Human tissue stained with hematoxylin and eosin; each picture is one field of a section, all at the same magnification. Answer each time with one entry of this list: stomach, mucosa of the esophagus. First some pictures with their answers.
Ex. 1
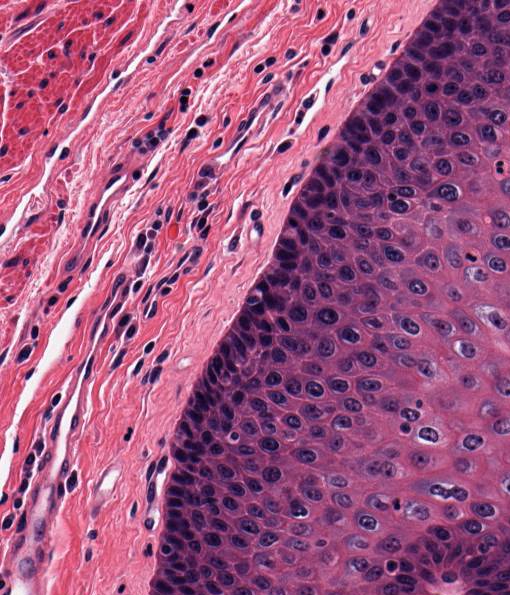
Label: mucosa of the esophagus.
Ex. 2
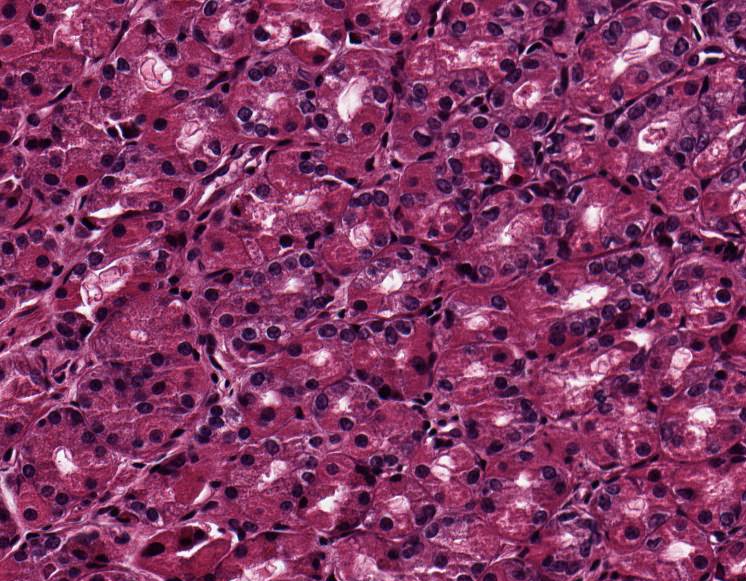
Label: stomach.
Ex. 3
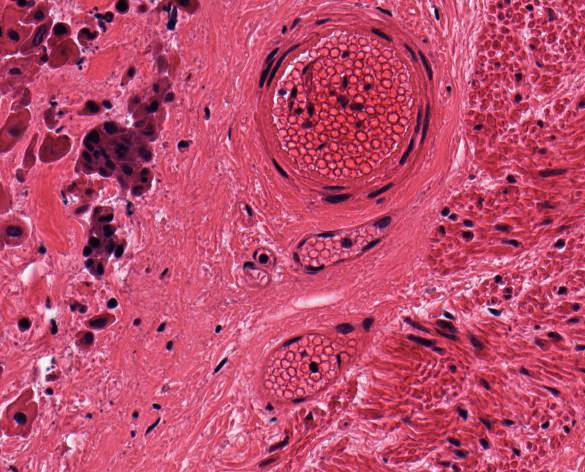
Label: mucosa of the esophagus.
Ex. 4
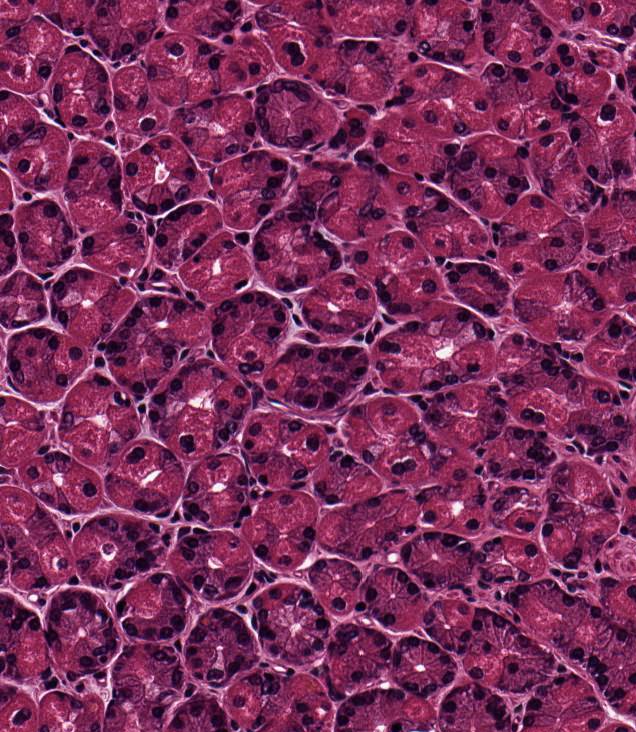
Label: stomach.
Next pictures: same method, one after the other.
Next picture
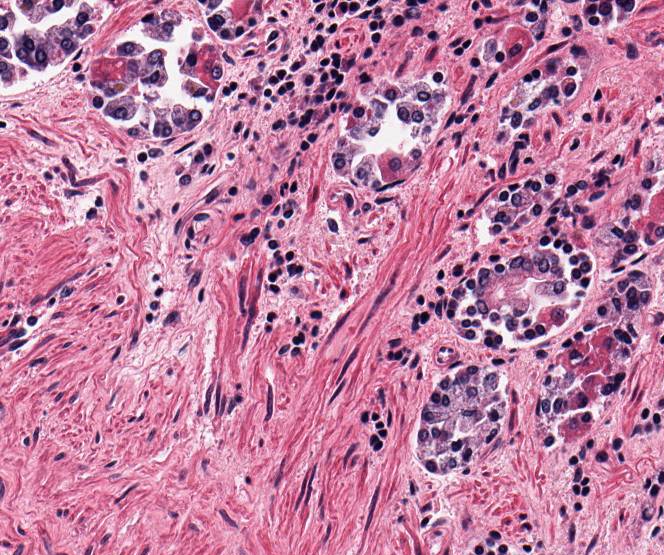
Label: stomach.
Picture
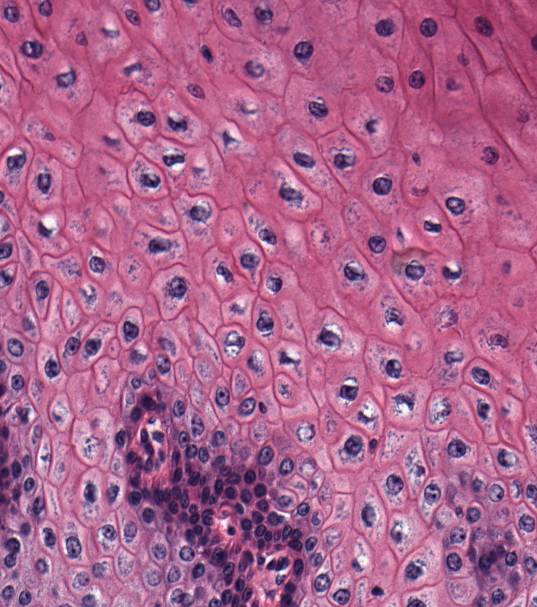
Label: mucosa of the esophagus.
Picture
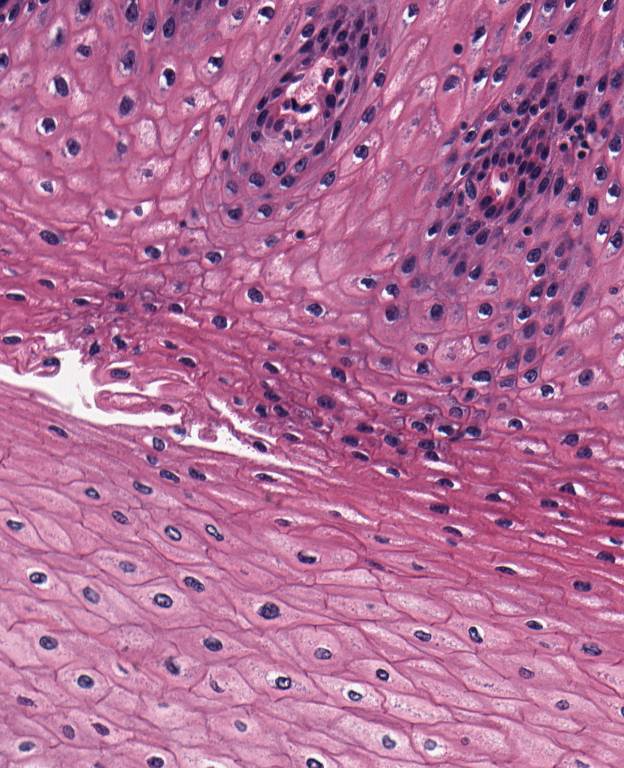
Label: mucosa of the esophagus.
